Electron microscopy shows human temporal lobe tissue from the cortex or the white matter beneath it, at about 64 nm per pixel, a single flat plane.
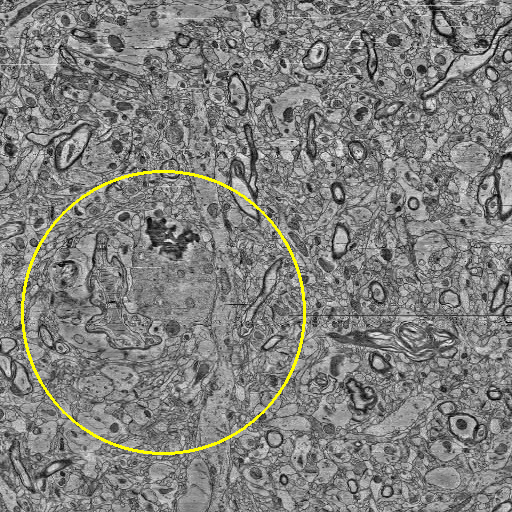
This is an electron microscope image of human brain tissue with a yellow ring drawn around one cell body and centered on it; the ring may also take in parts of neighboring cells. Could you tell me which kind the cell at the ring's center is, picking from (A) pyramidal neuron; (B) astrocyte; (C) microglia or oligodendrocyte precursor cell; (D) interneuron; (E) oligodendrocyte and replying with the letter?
E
